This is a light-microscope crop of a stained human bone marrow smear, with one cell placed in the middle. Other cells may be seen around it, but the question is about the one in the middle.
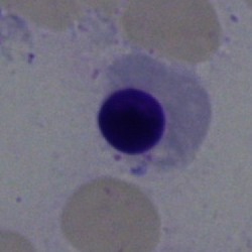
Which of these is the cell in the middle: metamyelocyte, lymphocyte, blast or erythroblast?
erythroblast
